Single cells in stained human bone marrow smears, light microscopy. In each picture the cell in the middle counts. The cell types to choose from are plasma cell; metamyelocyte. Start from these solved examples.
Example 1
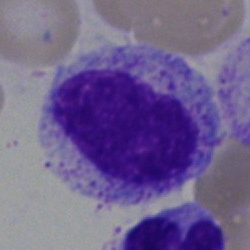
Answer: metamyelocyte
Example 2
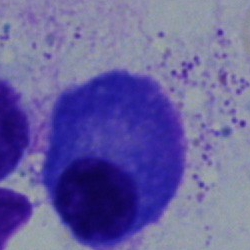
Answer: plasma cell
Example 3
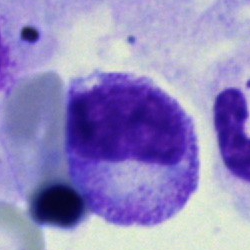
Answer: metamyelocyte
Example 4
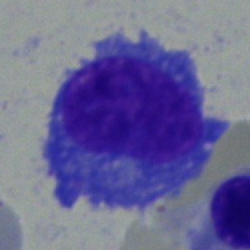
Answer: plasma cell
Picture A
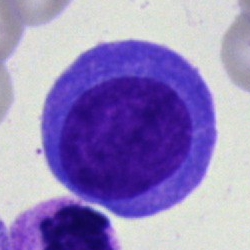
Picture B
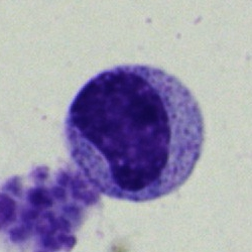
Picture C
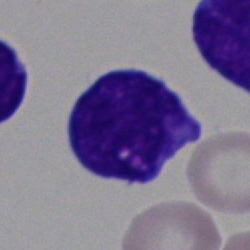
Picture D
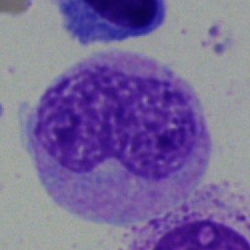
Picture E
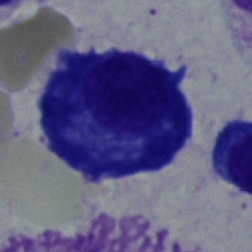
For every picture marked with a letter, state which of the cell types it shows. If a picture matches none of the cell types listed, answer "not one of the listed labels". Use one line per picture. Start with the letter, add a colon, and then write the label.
A: plasma cell
B: metamyelocyte
C: not one of the listed labels
D: metamyelocyte
E: plasma cell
